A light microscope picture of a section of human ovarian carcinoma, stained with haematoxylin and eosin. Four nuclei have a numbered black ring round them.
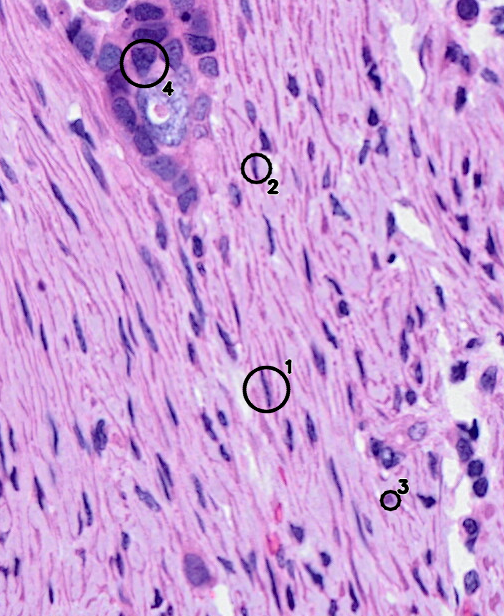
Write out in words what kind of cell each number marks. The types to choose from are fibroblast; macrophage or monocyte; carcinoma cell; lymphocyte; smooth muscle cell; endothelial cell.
Cell 1 is a fibroblast, cell 2 is a fibroblast, cell 3 is a fibroblast and cell 4 is a carcinoma cell.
